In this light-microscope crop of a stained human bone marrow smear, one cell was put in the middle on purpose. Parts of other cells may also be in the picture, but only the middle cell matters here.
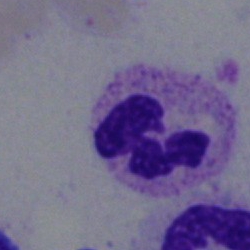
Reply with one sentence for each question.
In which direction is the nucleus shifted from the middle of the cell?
Toward the lower left of the cell lies its nucleus.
